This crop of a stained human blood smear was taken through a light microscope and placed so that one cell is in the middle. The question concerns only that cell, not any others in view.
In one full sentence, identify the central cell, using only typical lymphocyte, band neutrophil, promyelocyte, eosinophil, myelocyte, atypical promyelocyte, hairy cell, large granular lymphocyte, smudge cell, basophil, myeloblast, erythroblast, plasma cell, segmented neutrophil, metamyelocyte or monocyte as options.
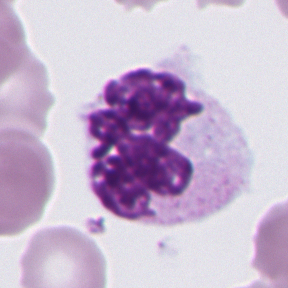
Positioned in the middle of the crop is a segmented neutrophil.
